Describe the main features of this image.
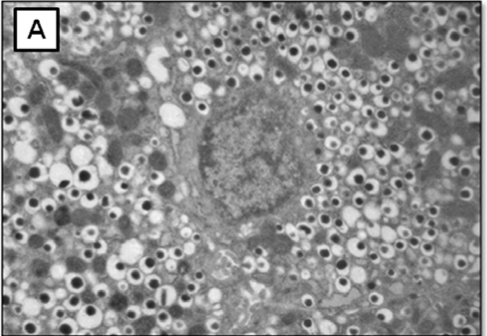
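This transmission electron micrograph shows an endocrine cell of an islet whose cytoplasm is crowded with small round secretory granules. Most granules have an electron-dense core set within a clear, pale halo bounded by a membrane. Scattered among them are larger pale, empty-looking vacuoles and darker elongated profiles. A round nucleus with finely granular chromatin lies near the centre, surrounded on all sides by the granule-filled cytoplasm.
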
